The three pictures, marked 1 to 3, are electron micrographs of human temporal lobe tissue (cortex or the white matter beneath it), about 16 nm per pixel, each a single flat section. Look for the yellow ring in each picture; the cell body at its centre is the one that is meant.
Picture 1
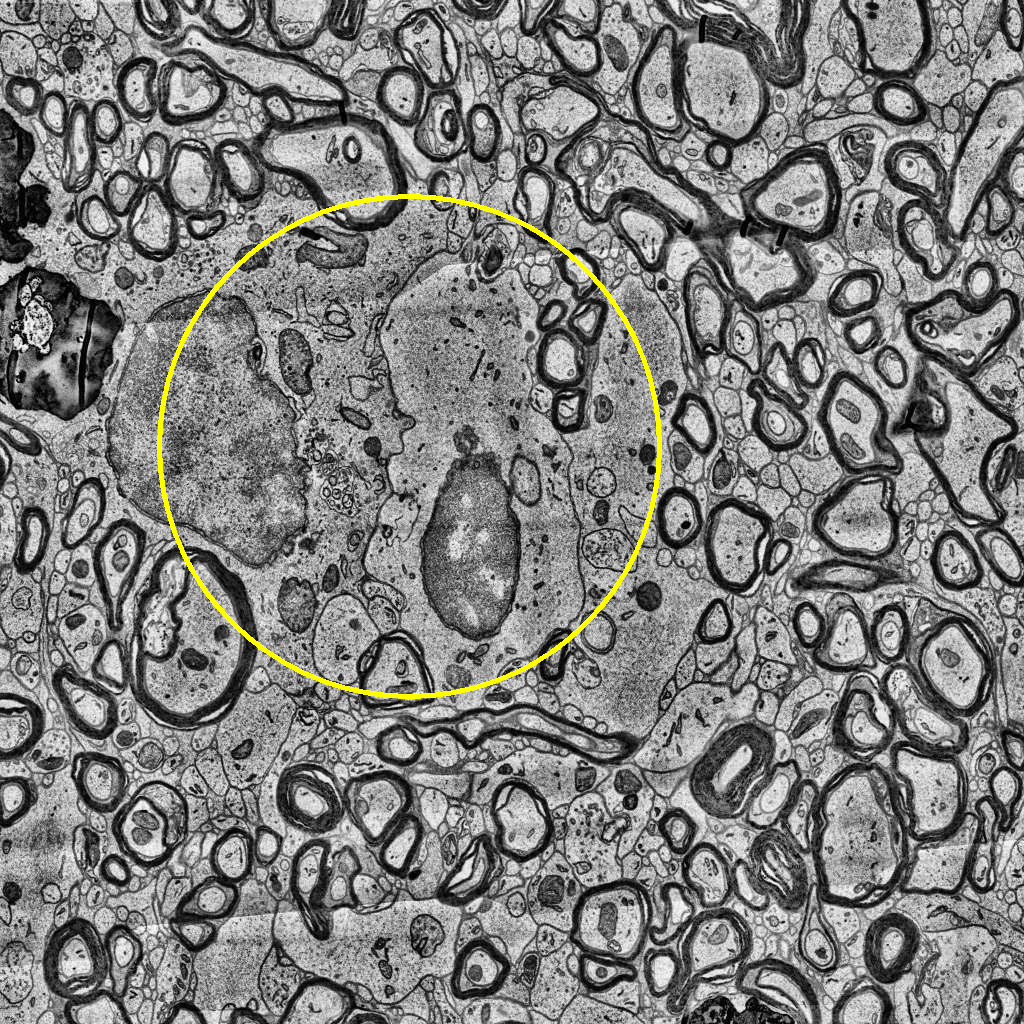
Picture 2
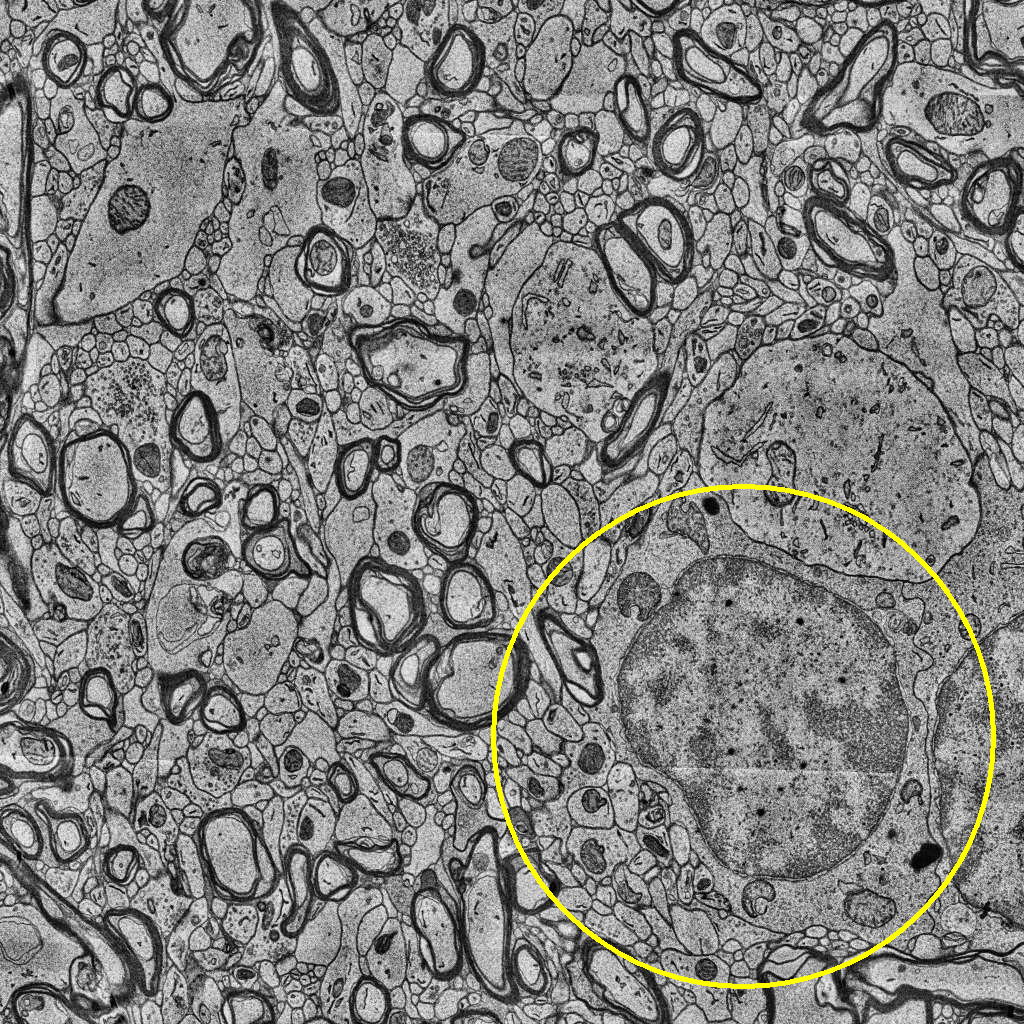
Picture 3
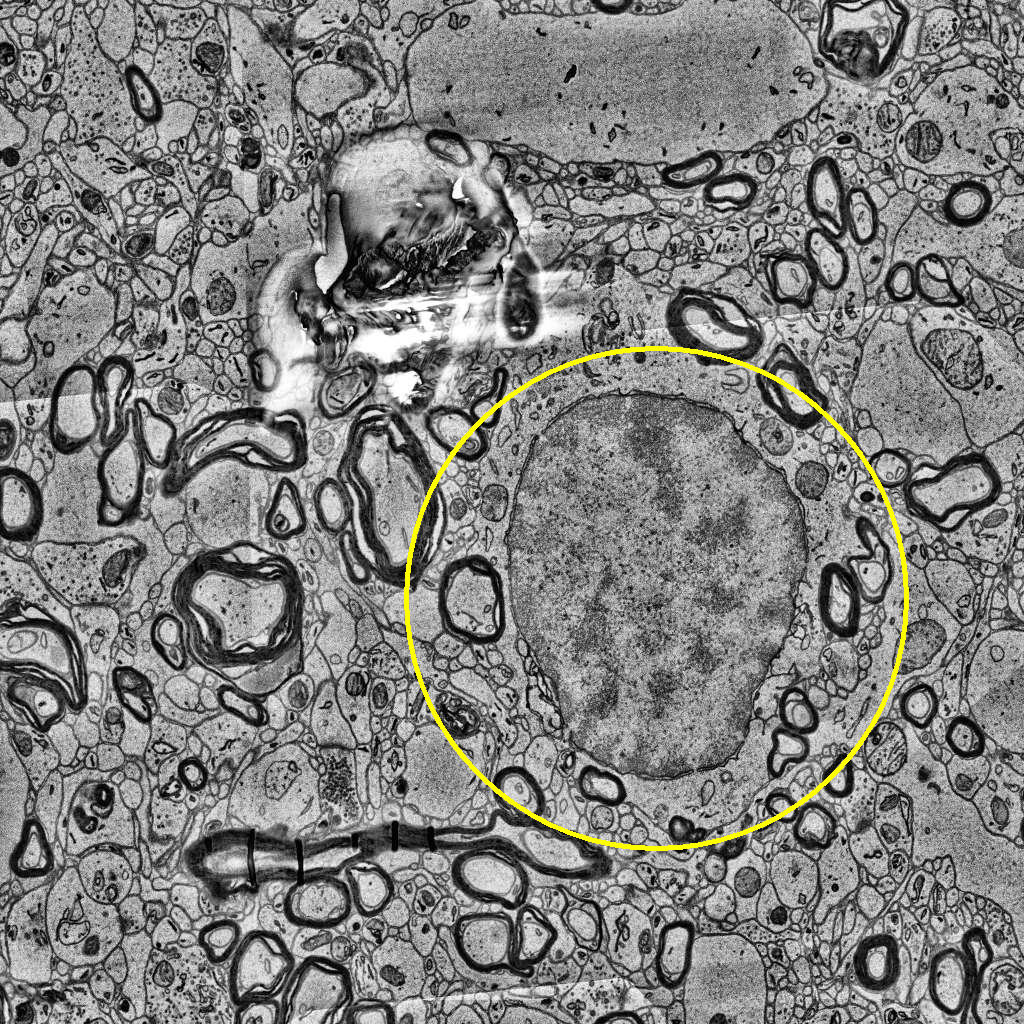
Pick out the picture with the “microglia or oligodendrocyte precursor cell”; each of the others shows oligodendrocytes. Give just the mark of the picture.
1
